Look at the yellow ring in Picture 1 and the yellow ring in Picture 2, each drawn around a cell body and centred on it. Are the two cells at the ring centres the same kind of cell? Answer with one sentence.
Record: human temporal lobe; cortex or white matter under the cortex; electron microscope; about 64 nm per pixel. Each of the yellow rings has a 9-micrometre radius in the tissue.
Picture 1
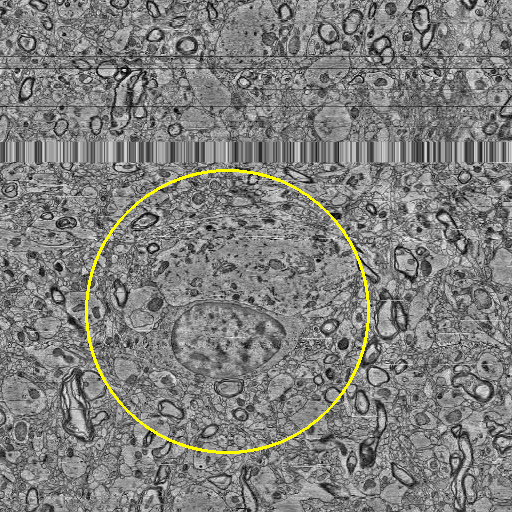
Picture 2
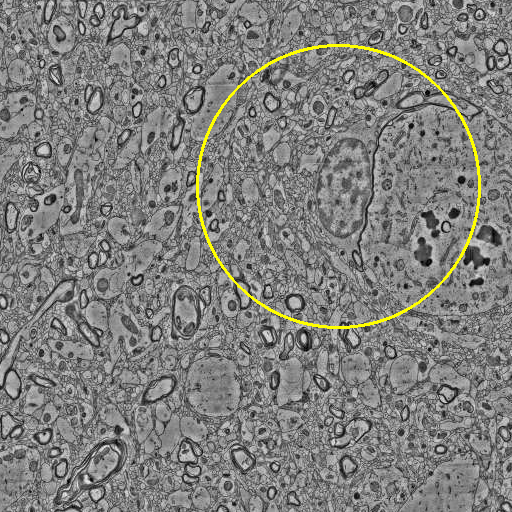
Yes, both are the same kind of cell.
